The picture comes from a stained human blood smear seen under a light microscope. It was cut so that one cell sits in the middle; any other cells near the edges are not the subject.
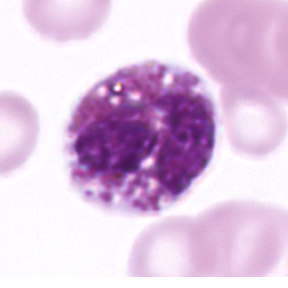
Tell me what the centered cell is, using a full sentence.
The middle of this crop holds an eosinophil.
